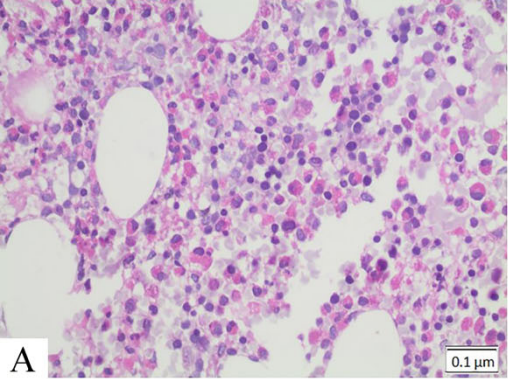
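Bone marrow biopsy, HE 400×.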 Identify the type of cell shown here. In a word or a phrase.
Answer: Eosinophils.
